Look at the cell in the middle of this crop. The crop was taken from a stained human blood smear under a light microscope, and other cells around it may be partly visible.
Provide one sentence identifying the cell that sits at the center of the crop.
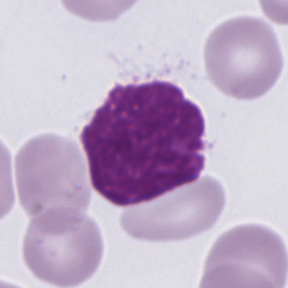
The cell of interest, in the center, is a smudge cell.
